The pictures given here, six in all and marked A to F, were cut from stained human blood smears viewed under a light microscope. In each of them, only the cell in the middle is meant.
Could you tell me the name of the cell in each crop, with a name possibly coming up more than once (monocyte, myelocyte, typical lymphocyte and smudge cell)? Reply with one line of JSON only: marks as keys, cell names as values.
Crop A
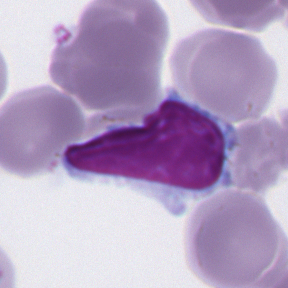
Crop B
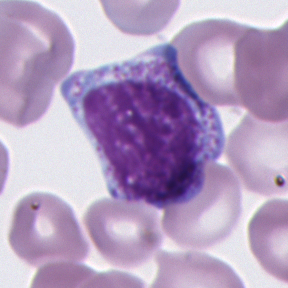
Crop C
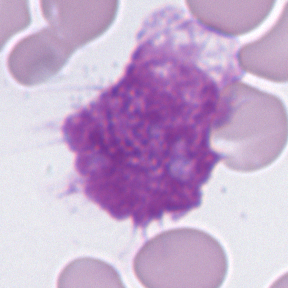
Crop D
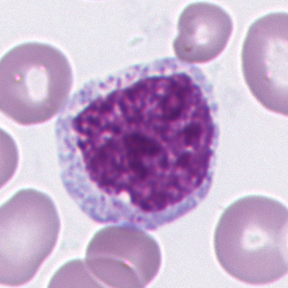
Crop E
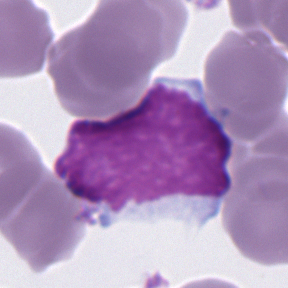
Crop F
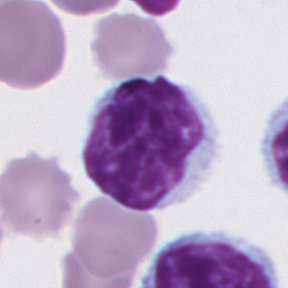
{"A": "typical lymphocyte", "B": "myelocyte", "C": "smudge cell", "D": "myelocyte", "E": "typical lymphocyte", "F": "typical lymphocyte"}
